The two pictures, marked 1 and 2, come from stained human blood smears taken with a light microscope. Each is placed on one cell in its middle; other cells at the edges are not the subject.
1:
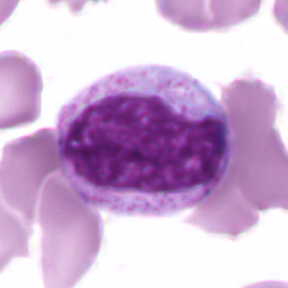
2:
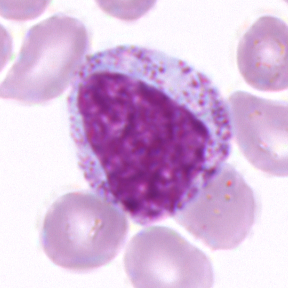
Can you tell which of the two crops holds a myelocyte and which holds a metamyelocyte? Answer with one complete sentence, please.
Among the crops, crop 1 is a metamyelocyte and crop 2 is a myelocyte.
